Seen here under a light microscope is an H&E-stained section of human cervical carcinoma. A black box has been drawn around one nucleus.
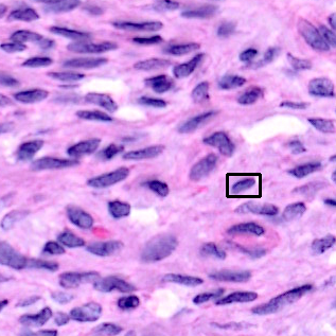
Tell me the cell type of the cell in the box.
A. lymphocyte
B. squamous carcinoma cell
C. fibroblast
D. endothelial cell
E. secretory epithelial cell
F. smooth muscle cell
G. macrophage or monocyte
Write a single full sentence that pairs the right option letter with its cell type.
Option C wins here: the cell in the box is a fibroblast.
